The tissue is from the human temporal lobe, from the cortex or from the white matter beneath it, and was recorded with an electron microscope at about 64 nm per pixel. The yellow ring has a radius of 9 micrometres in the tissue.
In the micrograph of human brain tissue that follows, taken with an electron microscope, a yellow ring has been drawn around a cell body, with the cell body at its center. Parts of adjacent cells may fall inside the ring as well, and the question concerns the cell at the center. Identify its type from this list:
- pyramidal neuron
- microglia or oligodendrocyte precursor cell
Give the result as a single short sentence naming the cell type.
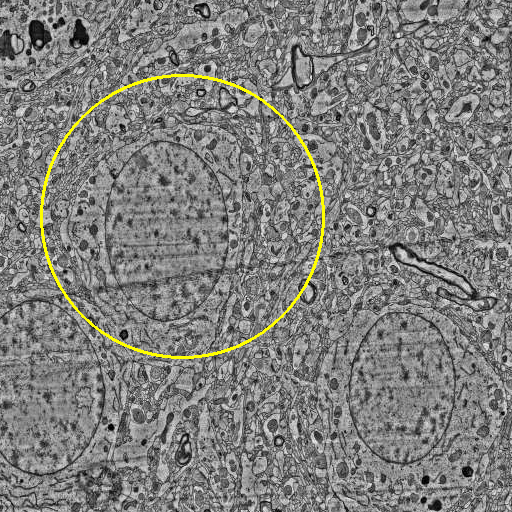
The ring is centered on a pyramidal neuron.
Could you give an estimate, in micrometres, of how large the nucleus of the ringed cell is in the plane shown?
In this plane, the nucleus is roughly 11 by 8 micrometres.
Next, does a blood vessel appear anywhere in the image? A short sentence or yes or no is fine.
No, there is no blood vessel in the image.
